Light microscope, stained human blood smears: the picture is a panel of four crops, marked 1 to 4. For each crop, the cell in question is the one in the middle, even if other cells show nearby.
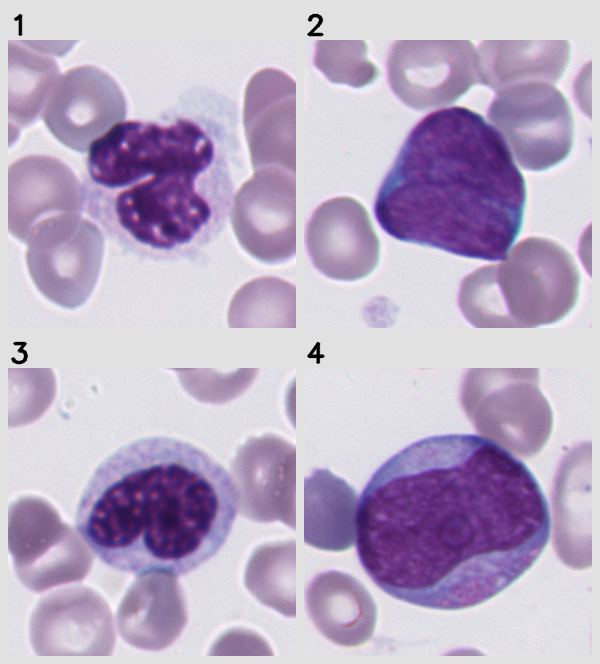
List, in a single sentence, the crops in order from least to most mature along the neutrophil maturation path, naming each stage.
The crops, ordered from least to most mature, are crop 2 (a blast), crop 4 (a promyelocyte), crop 3 (a band neutrophil) and crop 1 (a segmented neutrophil).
